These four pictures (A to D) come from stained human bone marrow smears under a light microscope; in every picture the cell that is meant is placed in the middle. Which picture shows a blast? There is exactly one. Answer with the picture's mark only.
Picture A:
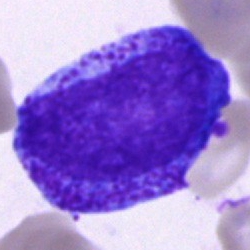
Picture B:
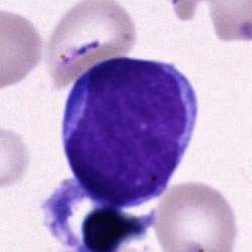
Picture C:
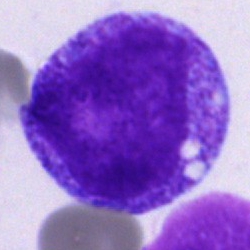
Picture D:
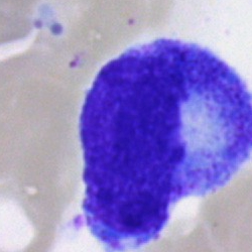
B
